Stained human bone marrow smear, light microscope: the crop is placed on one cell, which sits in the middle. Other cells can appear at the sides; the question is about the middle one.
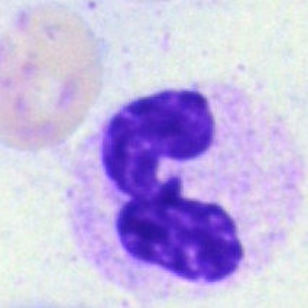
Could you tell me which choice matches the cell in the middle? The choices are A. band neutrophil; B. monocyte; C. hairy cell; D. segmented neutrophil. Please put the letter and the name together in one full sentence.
It is a segmented neutrophil that occupies the centre of the crop, so option D is correct.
